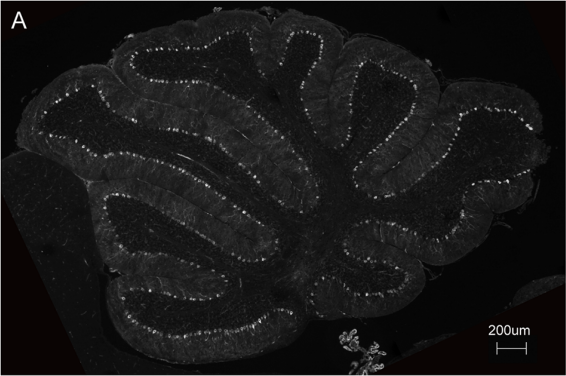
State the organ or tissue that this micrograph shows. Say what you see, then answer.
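Cerebellar midline. The section is folded into many leaf-like folds (folia) that branch from a central core. Each fold has a pale outer layer and a darker, densely granular inner layer. A single row of bright dots runs along the border between the two layers.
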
